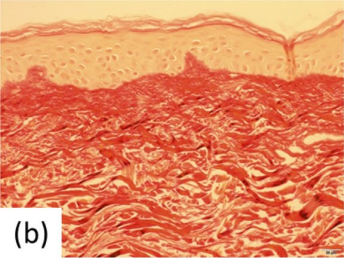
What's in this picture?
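A skin section shows a pale pink surface layer of stacked cells with small round nuclei, topped by a thin wavy cornified band. Below it lies a deeper layer filled with strongly red-stained, wavy fibre bundles separated by pale gaps, which is the dermis with its collagen.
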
